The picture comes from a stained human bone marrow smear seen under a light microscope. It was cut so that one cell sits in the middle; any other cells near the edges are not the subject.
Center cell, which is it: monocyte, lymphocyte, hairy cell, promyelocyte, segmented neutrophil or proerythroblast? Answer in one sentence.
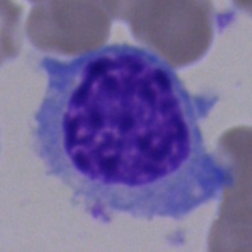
Here the cell in the middle is a hairy cell.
